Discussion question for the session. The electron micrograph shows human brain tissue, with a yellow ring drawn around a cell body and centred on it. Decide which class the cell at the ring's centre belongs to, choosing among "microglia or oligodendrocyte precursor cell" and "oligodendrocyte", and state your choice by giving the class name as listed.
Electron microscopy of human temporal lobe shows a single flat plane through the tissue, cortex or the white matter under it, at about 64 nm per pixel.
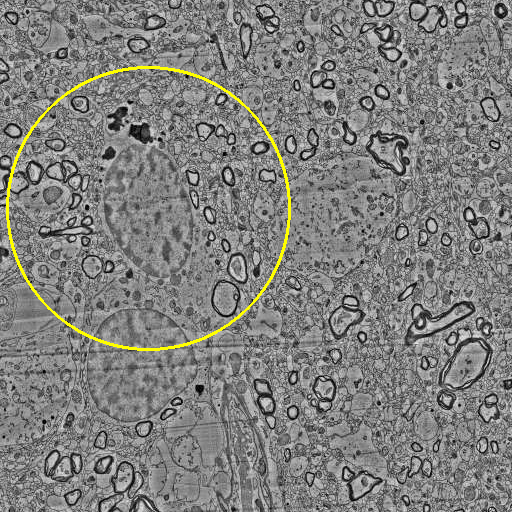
oligodendrocyte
